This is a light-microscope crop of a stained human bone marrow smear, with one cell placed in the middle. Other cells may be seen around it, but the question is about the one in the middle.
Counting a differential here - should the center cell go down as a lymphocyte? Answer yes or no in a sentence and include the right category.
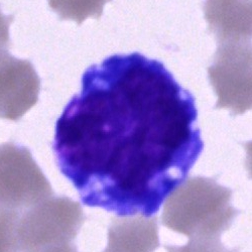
No, the central cell does not count as a lymphocyte; it is a blast.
